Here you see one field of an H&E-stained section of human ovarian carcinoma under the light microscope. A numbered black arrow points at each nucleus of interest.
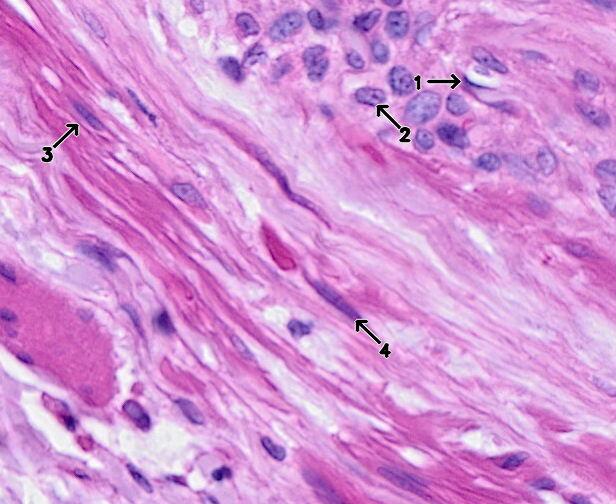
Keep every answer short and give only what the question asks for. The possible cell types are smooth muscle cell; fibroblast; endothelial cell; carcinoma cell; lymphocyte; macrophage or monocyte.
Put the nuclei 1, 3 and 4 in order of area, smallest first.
1, 3, 4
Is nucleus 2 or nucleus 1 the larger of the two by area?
2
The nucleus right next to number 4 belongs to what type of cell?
macrophage or monocyte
